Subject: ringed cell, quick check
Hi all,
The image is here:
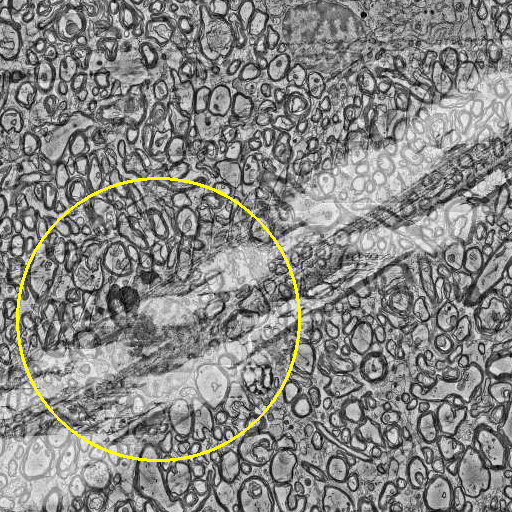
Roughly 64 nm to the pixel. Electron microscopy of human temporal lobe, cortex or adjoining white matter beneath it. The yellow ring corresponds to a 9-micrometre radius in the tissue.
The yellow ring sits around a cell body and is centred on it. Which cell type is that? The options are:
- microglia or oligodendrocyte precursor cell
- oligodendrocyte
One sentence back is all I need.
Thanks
That ringed cell is an oligodendrocyte.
